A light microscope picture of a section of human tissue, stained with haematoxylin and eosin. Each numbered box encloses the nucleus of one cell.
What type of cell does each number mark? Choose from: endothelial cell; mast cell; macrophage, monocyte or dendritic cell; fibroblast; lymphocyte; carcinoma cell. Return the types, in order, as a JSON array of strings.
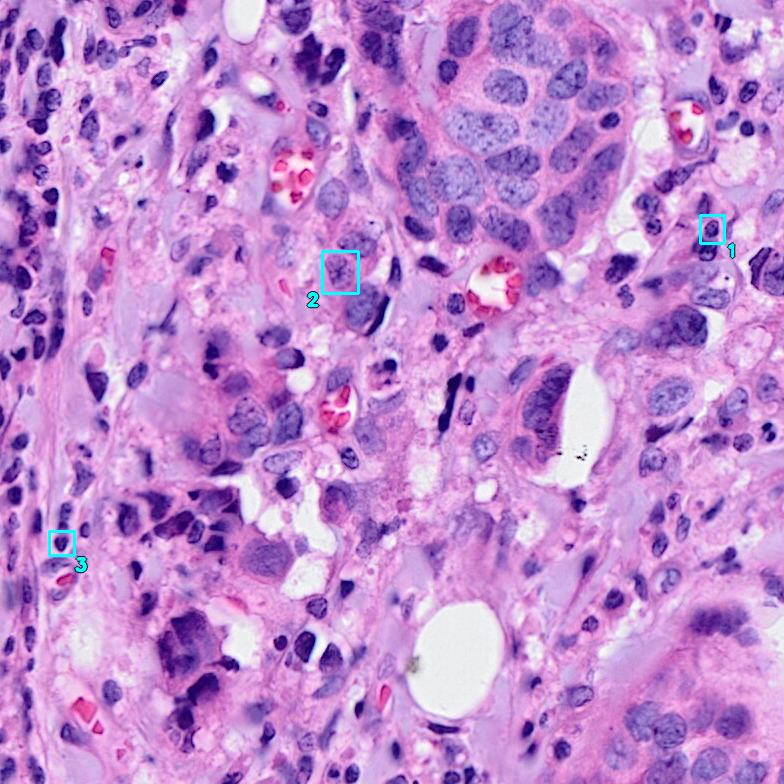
["lymphocyte", "carcinoma cell", "lymphocyte"]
